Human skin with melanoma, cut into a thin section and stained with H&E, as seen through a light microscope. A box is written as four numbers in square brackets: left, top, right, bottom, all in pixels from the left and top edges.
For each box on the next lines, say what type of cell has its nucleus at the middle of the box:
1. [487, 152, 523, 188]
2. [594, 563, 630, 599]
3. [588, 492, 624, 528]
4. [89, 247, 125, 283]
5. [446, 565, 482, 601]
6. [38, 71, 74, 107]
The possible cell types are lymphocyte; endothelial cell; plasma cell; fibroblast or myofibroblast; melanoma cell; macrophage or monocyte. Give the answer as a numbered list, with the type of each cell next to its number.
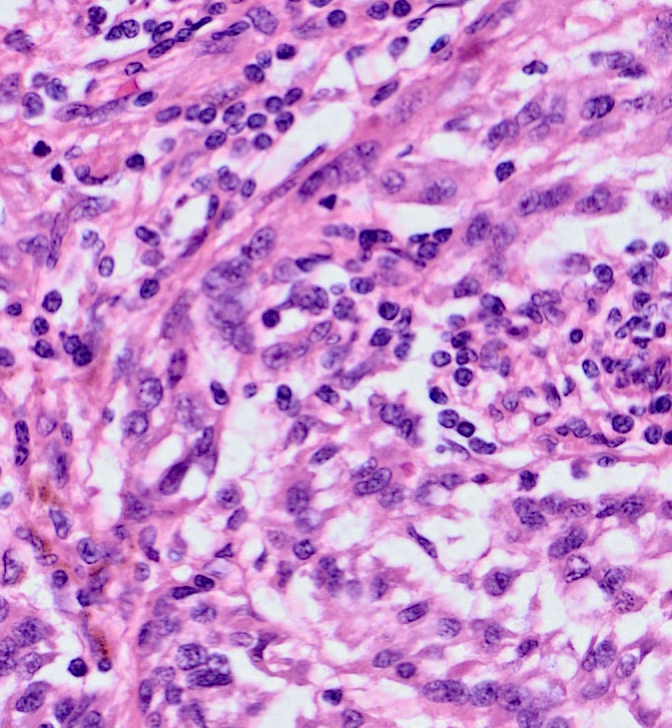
1. lymphocyte
2. melanoma cell
3. melanoma cell
4. lymphocyte
5. melanoma cell
6. lymphocyte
